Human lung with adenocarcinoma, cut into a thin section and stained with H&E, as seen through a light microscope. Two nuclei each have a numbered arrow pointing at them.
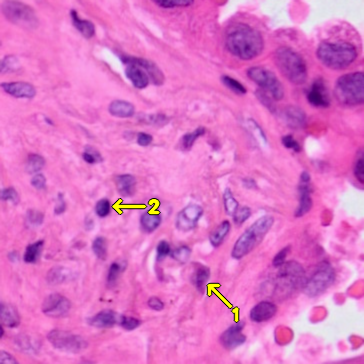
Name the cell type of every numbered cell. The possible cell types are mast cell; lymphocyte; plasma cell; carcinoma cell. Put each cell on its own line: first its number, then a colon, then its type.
1: plasma cell
2: lymphocyte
